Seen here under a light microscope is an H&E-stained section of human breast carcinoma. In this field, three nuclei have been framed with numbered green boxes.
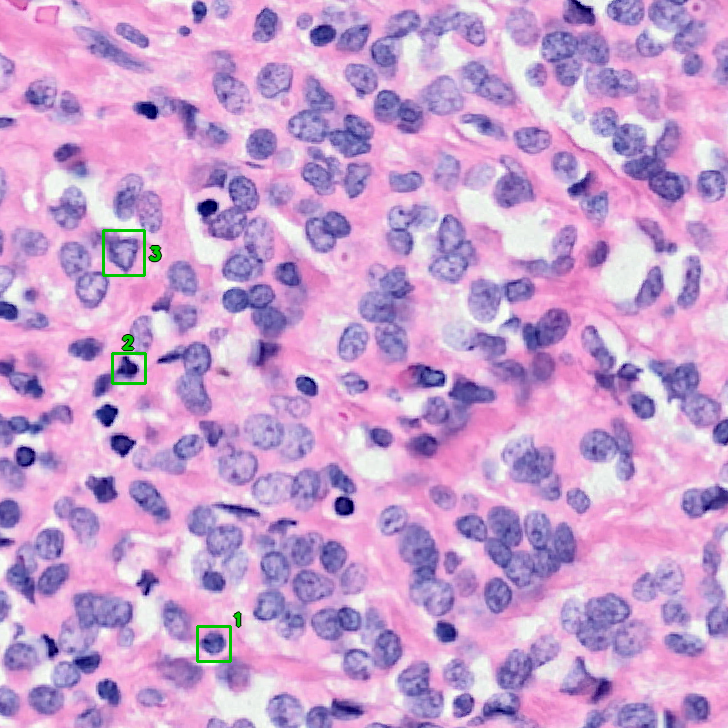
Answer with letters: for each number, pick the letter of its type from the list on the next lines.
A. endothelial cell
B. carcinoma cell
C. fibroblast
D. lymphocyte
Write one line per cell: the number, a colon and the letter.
1: D
2: D
3: B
